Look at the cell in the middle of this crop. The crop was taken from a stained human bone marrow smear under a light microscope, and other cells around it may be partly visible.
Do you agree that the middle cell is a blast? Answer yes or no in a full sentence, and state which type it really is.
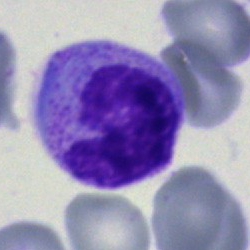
No, looking at the central cell, it is a monocyte rather than a blast.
